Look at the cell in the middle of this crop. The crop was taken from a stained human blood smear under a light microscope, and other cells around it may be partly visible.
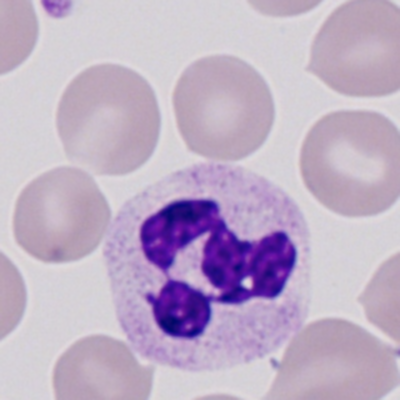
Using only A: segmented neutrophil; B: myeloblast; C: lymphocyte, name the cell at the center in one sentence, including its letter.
Of the choices given, option A is right, as the central cell is a segmented neutrophil.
